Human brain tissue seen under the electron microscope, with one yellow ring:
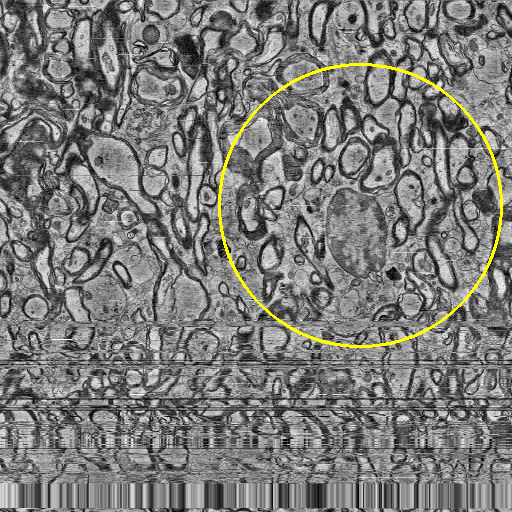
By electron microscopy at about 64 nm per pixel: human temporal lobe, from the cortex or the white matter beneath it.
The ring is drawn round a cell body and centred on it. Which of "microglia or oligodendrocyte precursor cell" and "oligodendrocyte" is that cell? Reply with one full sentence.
The picture shows a microglial cell or oligodendrocyte precursor cell at the very centre of the yellow ring.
